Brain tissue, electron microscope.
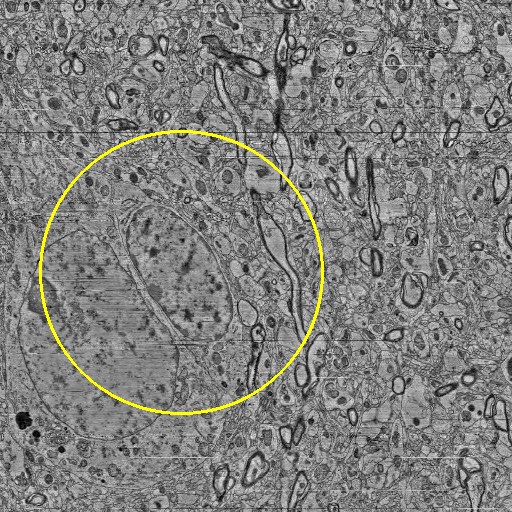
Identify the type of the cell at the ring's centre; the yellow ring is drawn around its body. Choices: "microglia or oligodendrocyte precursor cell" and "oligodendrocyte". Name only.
microglia or oligodendrocyte precursor cell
